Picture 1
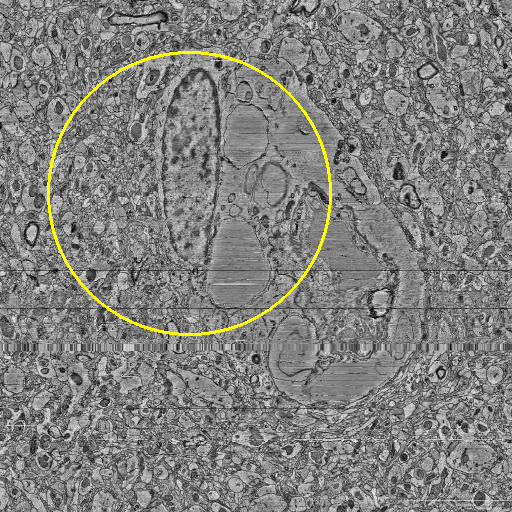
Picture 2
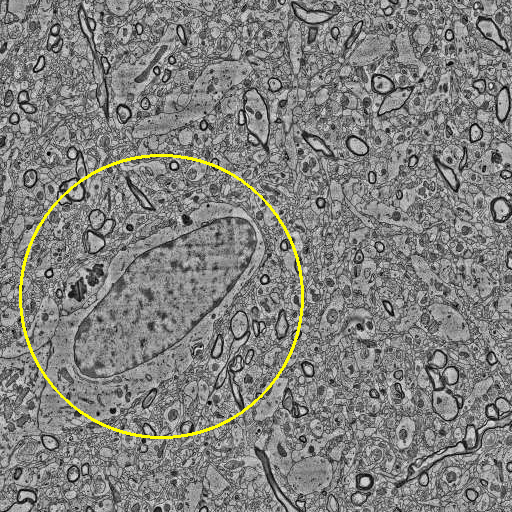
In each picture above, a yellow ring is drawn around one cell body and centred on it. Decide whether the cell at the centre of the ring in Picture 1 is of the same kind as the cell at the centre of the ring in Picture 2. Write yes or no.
yes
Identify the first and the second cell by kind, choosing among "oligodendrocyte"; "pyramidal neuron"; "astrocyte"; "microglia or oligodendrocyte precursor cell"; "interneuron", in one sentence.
In each of the two pictures, the ringed cell is a microglial cell or oligodendrocyte precursor cell.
